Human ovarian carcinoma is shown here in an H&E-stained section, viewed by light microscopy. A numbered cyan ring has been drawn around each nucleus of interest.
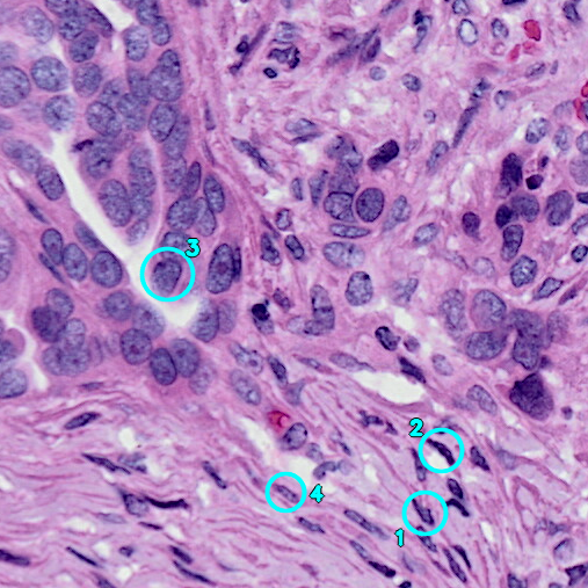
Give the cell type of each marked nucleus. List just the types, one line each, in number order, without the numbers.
fibroblast
fibroblast
carcinoma cell
fibroblast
